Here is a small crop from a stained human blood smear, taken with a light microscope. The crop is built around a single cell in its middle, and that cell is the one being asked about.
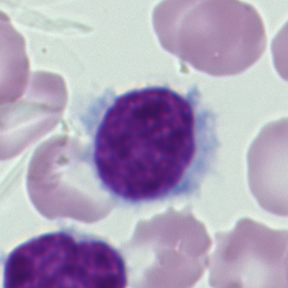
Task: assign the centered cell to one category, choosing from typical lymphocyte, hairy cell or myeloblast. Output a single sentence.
The cell sitting right in the middle is a hairy cell.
